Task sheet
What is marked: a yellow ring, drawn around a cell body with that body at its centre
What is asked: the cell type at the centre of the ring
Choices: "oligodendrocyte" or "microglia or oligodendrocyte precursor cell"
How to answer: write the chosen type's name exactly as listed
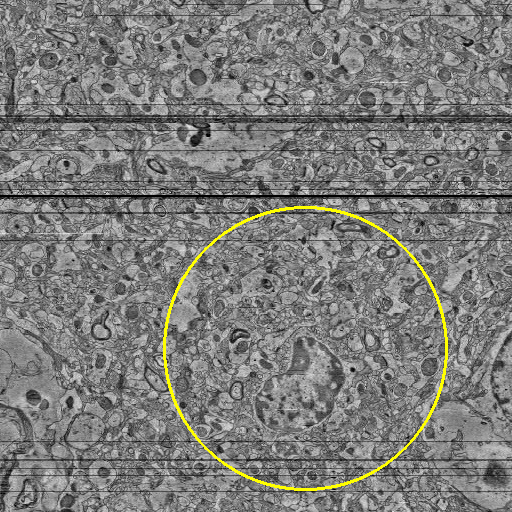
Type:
microglia or oligodendrocyte precursor cell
